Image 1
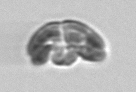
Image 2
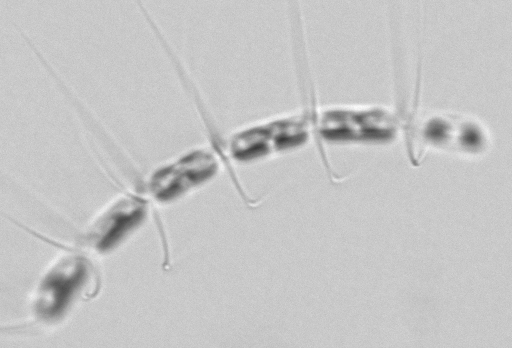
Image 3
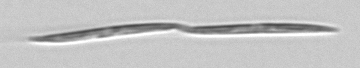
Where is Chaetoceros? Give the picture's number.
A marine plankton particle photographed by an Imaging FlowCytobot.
2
